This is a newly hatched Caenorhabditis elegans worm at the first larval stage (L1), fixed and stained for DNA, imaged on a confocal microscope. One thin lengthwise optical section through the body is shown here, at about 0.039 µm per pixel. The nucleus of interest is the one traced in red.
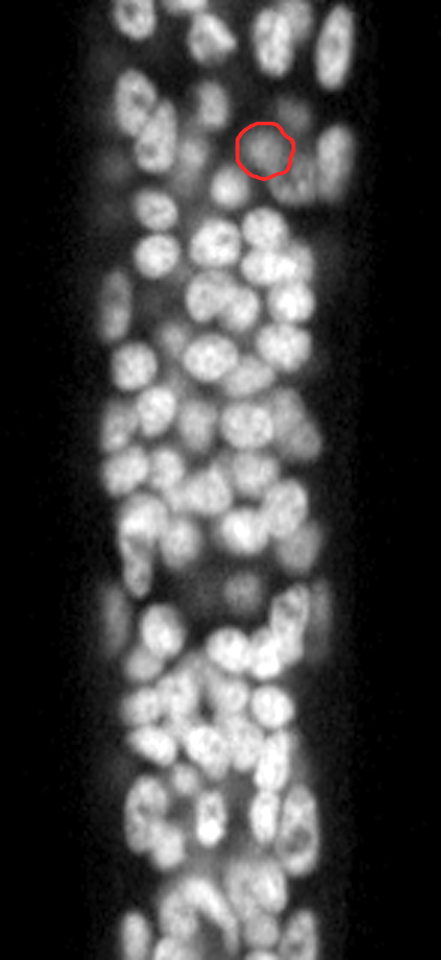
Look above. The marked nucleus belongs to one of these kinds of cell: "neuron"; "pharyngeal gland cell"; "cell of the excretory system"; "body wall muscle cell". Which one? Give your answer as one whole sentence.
The cell with the marked nucleus is a pharyngeal gland cell.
